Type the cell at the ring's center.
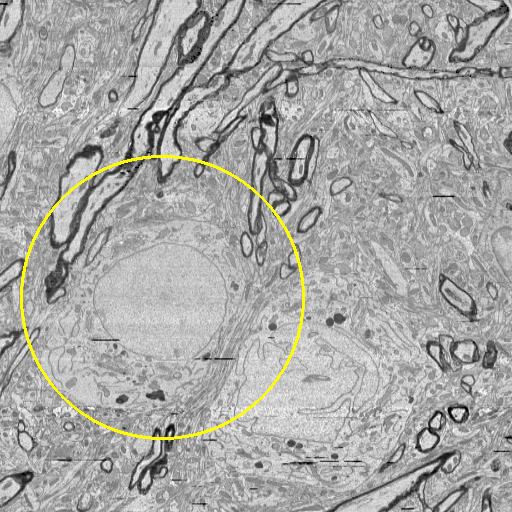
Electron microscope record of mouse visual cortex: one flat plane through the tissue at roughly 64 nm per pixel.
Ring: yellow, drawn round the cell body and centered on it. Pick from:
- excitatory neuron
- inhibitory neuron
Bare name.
excitatory neuron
